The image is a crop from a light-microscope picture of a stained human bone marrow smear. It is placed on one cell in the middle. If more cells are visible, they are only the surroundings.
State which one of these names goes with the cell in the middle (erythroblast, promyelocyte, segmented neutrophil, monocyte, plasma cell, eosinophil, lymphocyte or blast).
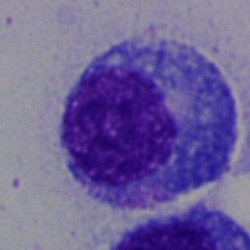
promyelocyte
